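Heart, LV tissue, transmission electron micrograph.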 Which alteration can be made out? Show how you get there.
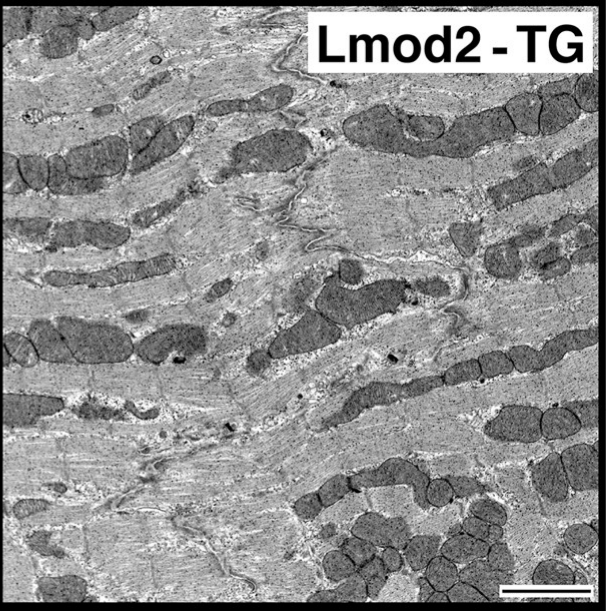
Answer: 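Out-of-register sarcomeres. Z-lines of neighbouring myofibrils do not line up across the field. Myofibrils run wavy and in differing directions.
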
